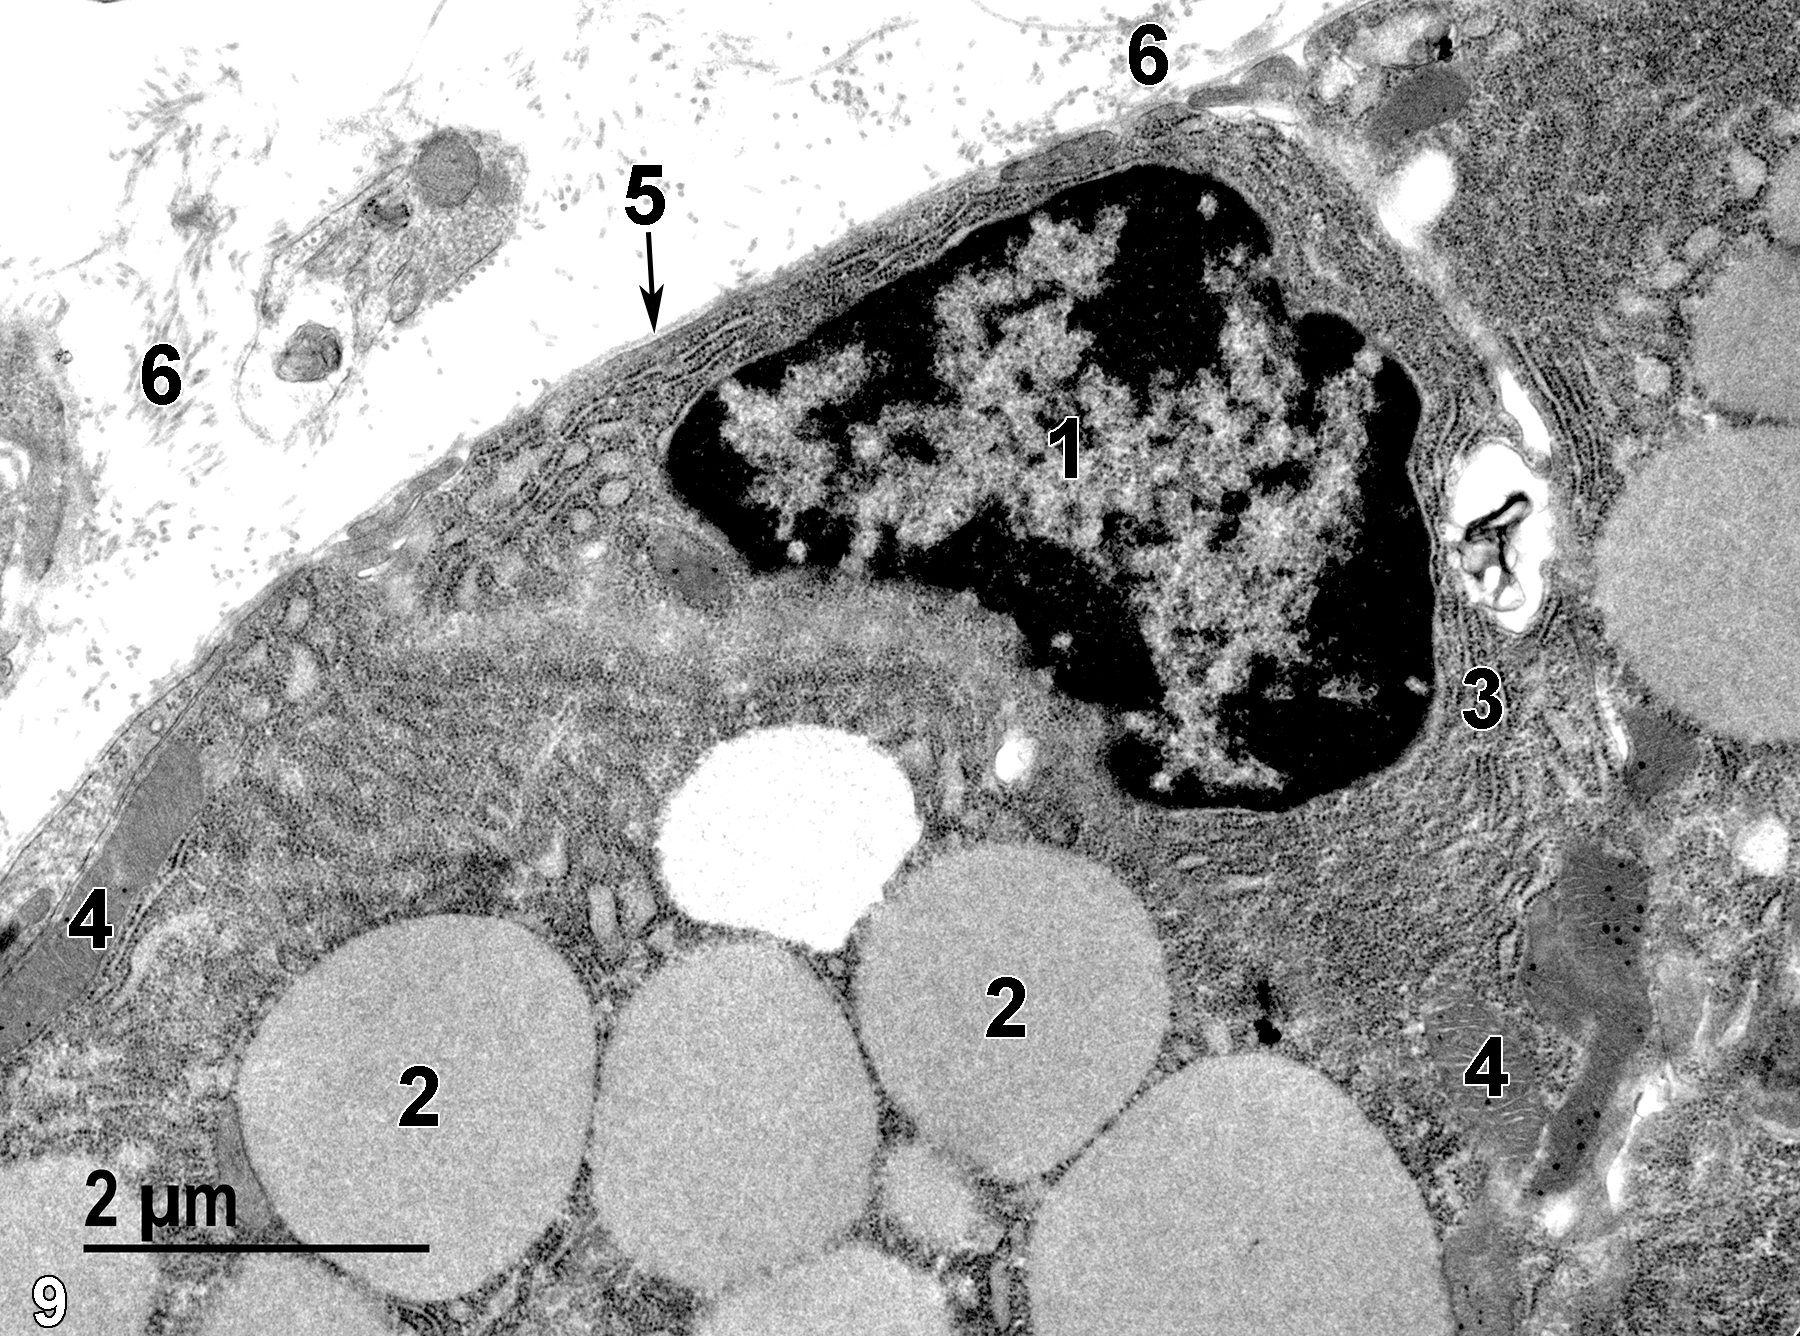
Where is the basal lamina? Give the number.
5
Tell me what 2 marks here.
At 2: zymogen granules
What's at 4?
Mitochondria.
